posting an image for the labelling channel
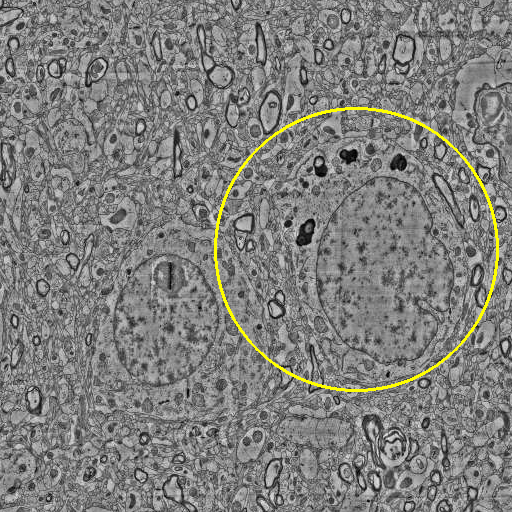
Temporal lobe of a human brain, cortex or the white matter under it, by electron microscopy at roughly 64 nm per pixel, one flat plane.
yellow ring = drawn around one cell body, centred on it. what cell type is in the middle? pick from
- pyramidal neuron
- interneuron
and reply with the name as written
pyramidal neuron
